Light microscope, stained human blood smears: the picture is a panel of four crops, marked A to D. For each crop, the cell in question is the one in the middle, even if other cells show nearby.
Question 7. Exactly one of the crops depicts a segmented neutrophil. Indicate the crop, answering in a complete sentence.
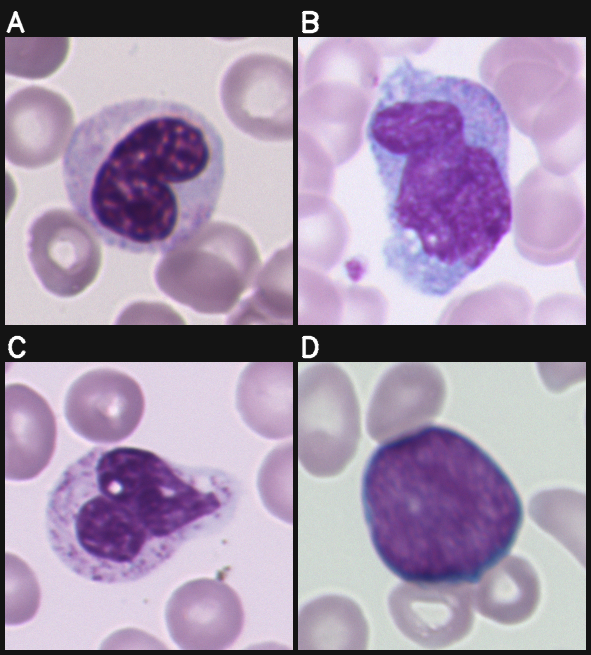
The crop with a segmented neutrophil at its center is crop C.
